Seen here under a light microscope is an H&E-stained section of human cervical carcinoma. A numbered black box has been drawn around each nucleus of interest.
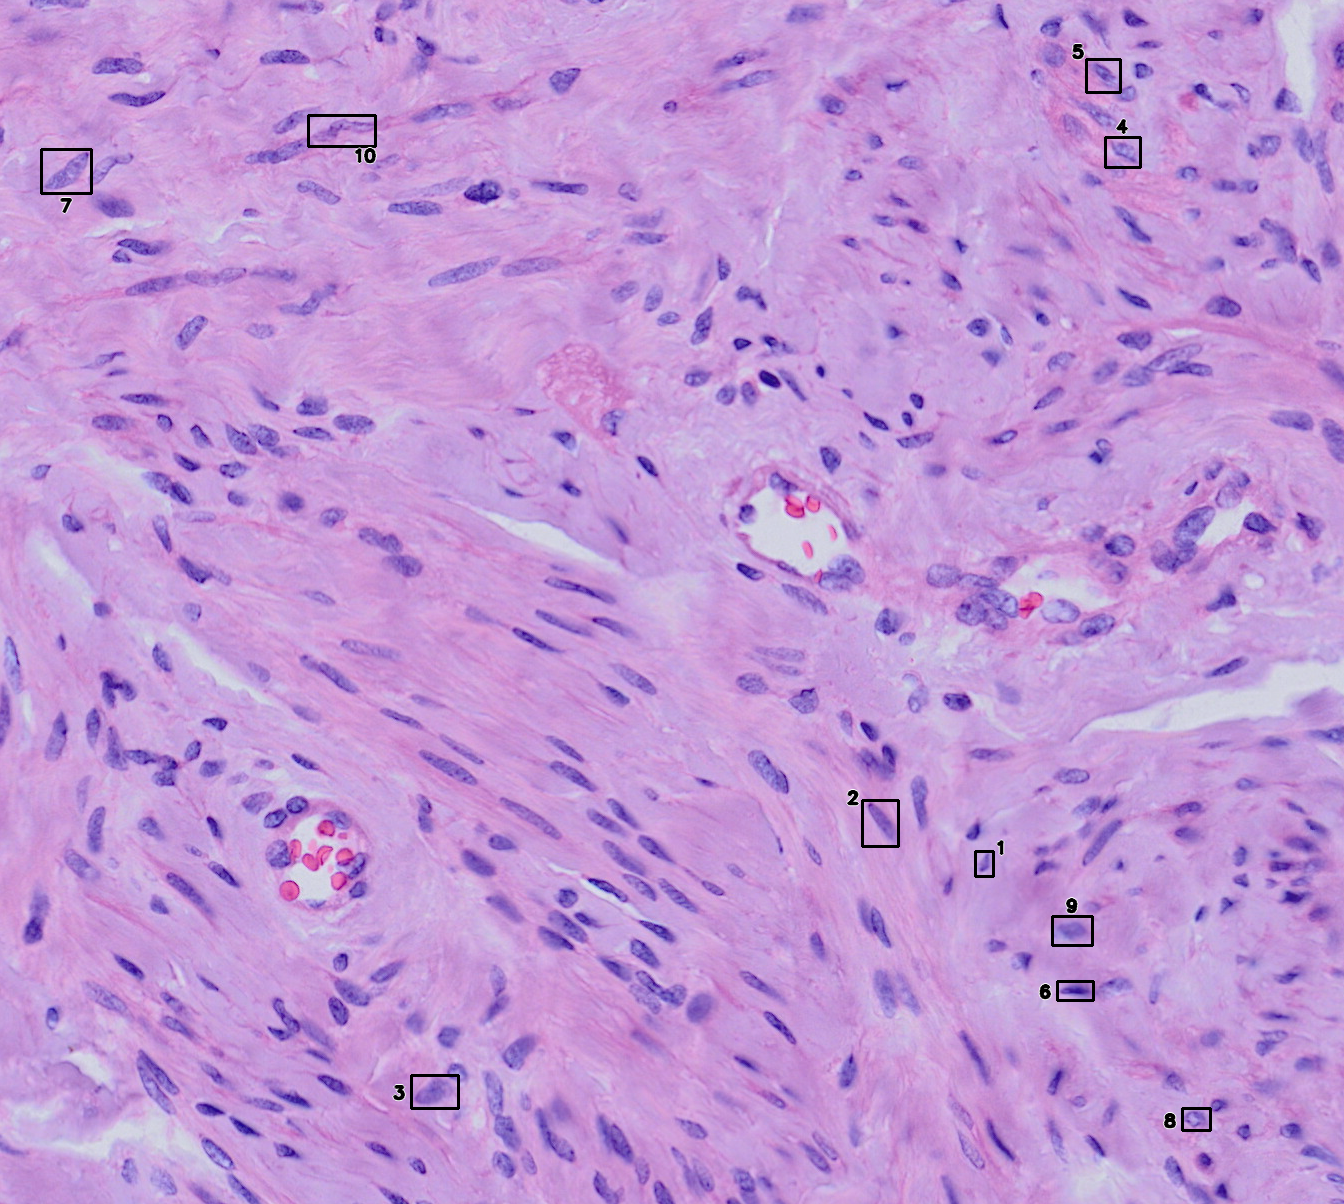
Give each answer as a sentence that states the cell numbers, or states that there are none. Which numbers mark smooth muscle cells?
Within the section, cells numbered 4, 5, 8 and 10 are smooth muscle cells.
